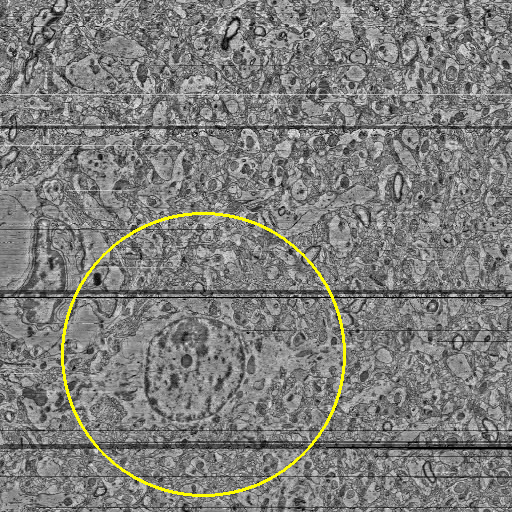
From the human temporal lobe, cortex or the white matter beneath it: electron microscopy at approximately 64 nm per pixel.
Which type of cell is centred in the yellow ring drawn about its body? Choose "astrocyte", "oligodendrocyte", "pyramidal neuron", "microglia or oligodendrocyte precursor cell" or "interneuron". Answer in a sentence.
The yellow ring surrounds the cell body of an astrocyte.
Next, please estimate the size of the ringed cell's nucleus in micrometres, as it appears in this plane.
Roughly 7 micrometres across, measured in this plane.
